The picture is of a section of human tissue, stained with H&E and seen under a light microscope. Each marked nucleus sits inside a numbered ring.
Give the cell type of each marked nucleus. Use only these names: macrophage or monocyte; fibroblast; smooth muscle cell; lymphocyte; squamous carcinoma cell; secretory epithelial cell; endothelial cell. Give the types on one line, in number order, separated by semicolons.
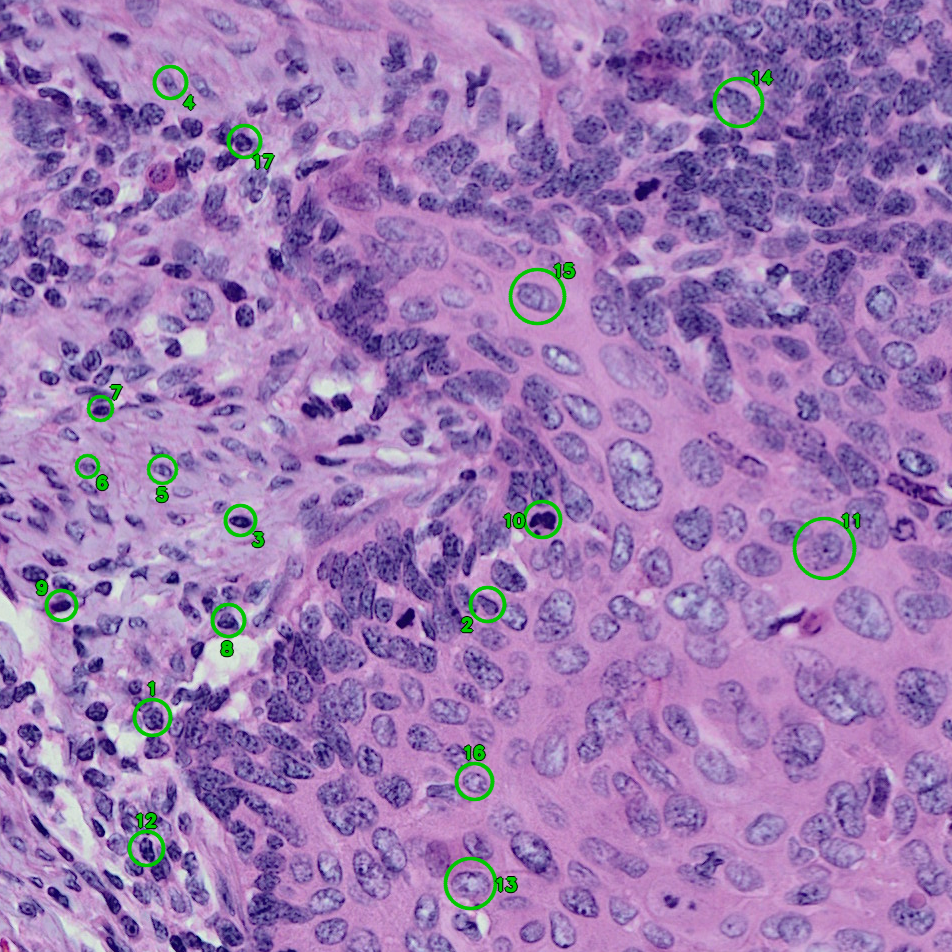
lymphocyte; squamous carcinoma cell; lymphocyte; smooth muscle cell; smooth muscle cell; smooth muscle cell; lymphocyte; lymphocyte; lymphocyte; squamous carcinoma cell; squamous carcinoma cell; lymphocyte; squamous carcinoma cell; squamous carcinoma cell; squamous carcinoma cell; squamous carcinoma cell; lymphocyte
